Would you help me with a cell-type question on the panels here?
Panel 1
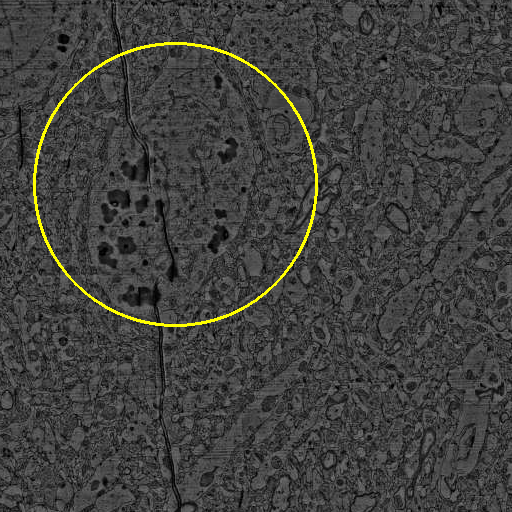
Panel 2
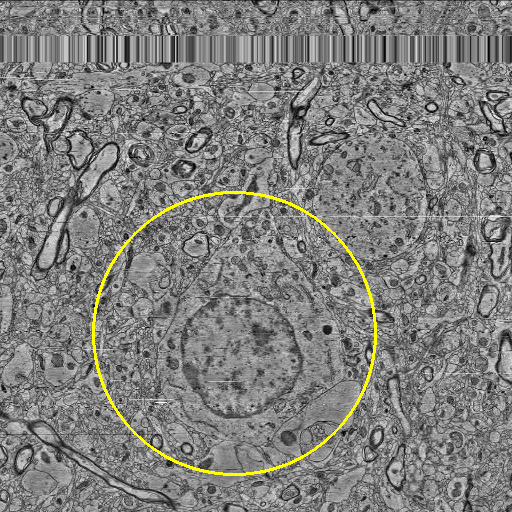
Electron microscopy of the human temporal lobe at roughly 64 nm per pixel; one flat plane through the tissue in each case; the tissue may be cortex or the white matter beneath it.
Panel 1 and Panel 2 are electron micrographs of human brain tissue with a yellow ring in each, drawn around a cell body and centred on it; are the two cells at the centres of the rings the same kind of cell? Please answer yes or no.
yes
